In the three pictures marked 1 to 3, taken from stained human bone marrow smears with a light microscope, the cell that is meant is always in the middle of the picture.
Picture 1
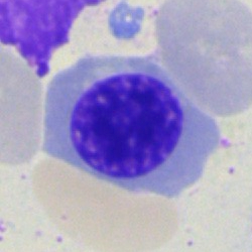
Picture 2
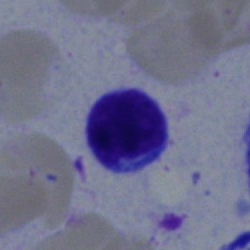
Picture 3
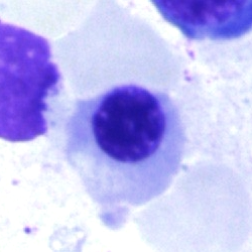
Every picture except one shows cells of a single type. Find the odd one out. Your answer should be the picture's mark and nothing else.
2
